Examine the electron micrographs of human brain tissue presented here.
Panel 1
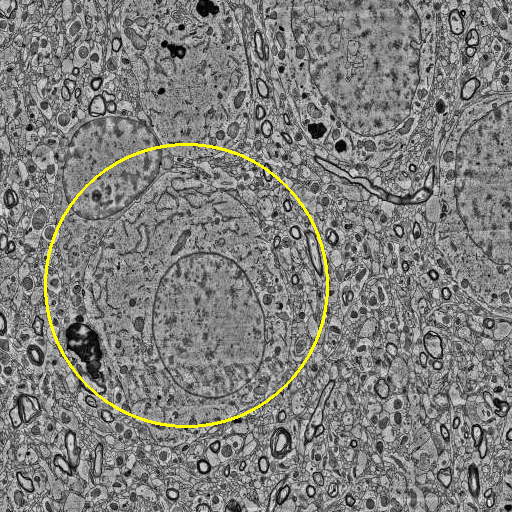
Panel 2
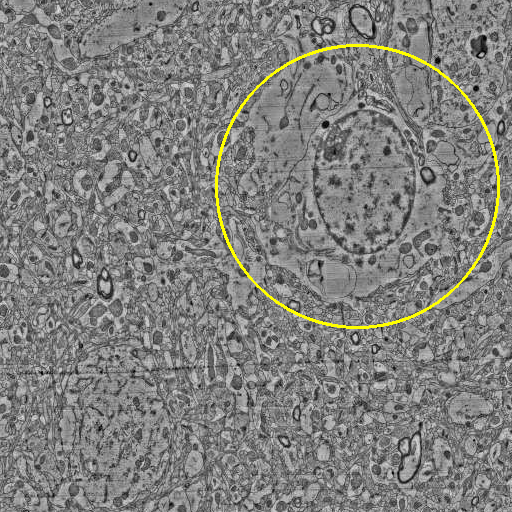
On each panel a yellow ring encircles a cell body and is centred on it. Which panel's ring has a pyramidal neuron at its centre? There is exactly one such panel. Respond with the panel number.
1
